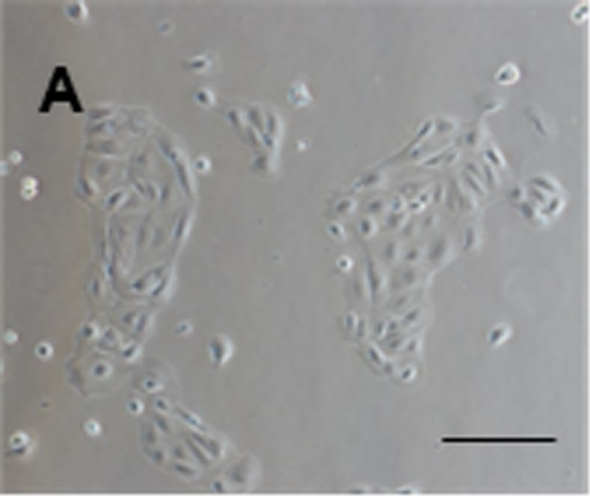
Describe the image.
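At the margins of the islands some cells are more elongated. Between the islands lie scattered small, round, bright cells that are not spread out, likely detached or not yet attached cells. The clustering into coherent sheets rather than scattered spindle shapes is typical of an epithelial culture.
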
